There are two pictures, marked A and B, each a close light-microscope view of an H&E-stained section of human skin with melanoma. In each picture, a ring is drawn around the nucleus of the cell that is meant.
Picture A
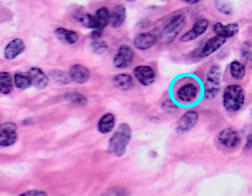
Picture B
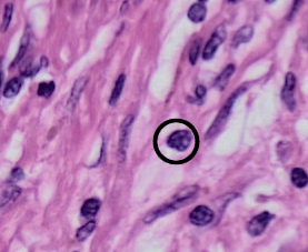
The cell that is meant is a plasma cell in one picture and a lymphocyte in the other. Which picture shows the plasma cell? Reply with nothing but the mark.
A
